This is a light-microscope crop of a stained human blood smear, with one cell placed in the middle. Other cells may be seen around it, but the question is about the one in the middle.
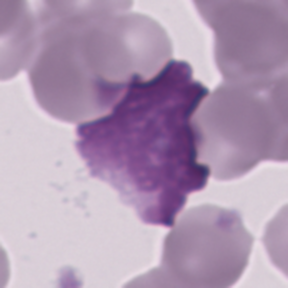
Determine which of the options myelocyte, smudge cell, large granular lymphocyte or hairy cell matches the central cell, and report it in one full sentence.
In the crop, the cell of interest at the centre is a smudge cell.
